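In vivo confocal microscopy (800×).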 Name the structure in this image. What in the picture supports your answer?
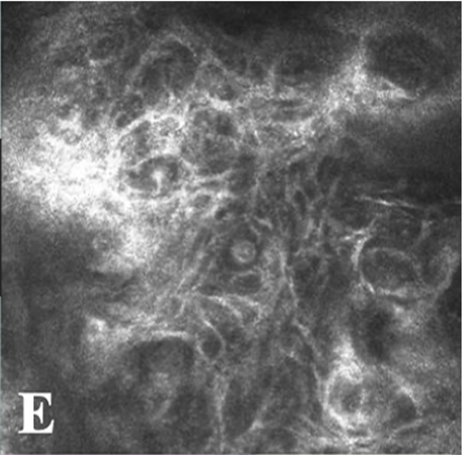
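Highly reflective fiber-like substance. Bright white thread-like strands form a tangled network across the field. The strands are brighter than the surrounding grey background.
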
